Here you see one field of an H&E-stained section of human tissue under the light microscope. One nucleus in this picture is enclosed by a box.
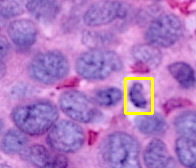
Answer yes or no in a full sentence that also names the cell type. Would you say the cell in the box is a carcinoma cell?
No, the cell in the box is simply a macrophage or monocyte rather than a carcinoma cell.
